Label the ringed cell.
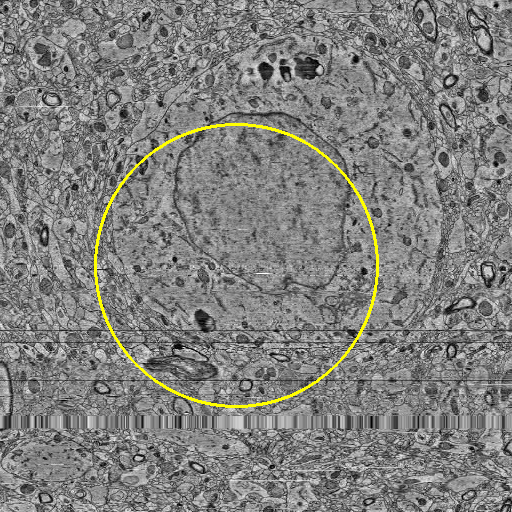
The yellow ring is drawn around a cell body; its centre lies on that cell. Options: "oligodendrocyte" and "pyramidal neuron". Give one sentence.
The ringed cell is a pyramidal neuron.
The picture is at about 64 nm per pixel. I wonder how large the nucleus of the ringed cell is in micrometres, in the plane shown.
Roughly 13 micrometres by 11 micrometres, in this plane.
